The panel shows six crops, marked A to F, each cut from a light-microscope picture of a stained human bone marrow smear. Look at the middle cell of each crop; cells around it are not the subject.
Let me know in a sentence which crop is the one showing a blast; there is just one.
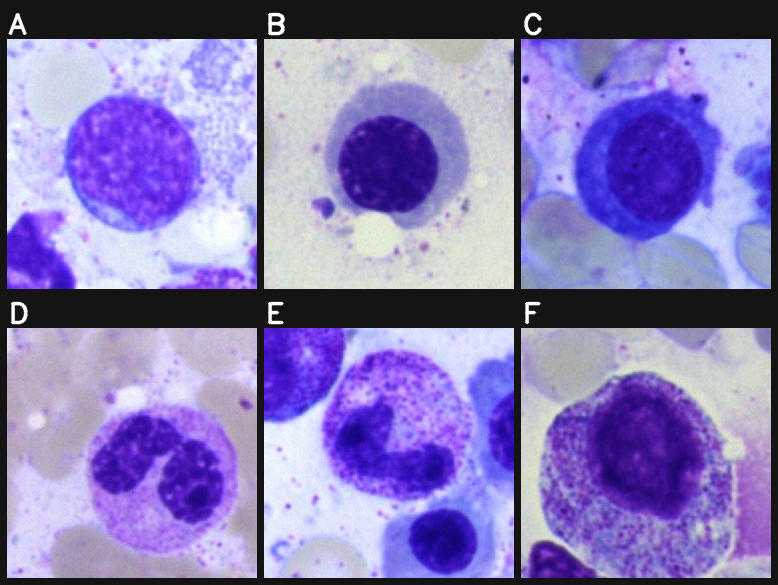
Crop A is the single crop that shows a blast.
